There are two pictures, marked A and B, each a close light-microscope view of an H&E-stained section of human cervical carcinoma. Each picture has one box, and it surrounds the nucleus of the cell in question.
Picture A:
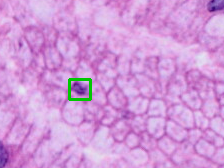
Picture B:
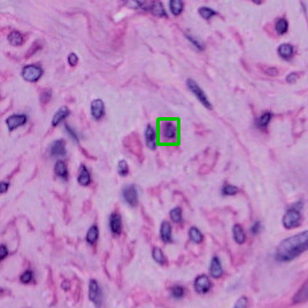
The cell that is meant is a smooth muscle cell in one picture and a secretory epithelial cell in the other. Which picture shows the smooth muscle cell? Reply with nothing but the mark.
B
